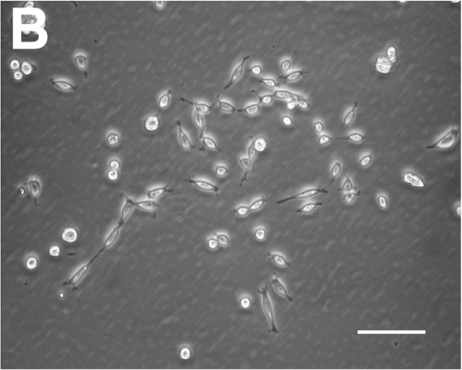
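Many cells are rounded and phase-bright with a bright halo; others are small, spindle- or teardrop-shaped bodies with one or two thin, long processes, some of which reach toward neighbouring cells. Cells gather loosely in the centre of the field, forming a rough cluster, with isolated round cells at its edges. No continuous layer forms; cells are well separated.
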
